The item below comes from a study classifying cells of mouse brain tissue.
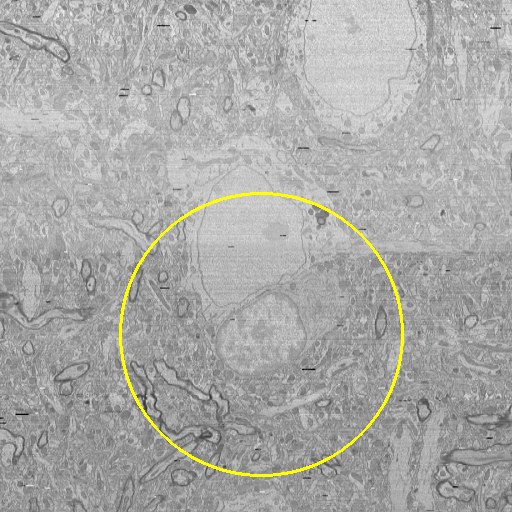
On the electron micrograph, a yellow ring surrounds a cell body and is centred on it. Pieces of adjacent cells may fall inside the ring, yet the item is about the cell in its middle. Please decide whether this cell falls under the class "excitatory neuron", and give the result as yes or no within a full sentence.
No, the cell at the middle of the ring on the micrograph is of another kind.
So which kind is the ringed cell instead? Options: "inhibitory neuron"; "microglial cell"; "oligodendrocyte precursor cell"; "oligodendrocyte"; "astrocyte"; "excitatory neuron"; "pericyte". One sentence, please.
Instead, the ringed cell here is an oligodendrocyte.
